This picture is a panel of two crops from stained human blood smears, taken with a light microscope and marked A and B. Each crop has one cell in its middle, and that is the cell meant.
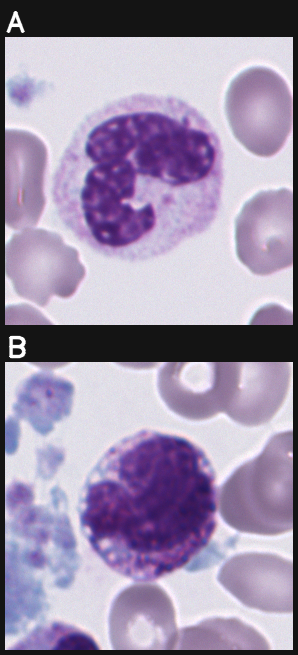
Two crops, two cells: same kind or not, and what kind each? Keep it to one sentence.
No, crop A has a segmented neutrophil in the middle, and crop B has a basophil.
